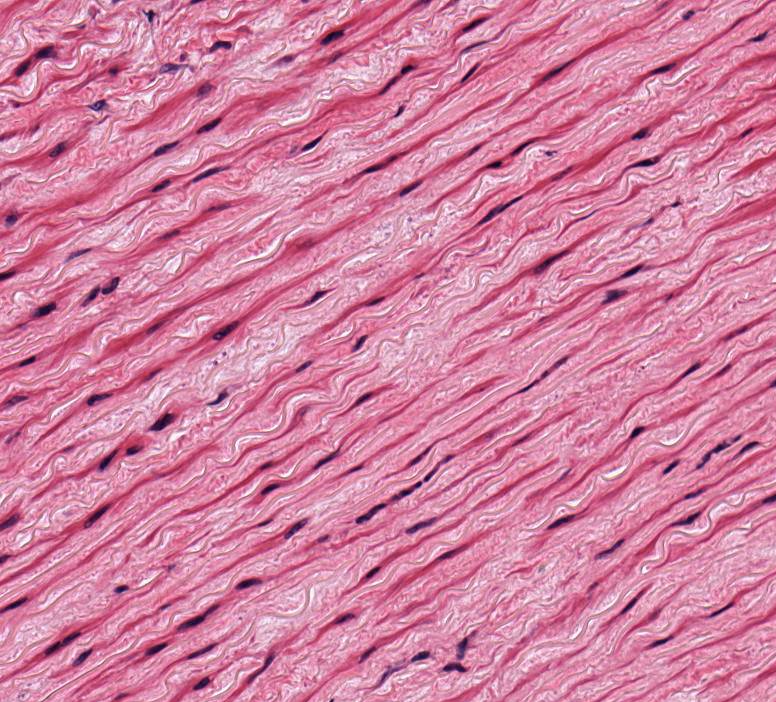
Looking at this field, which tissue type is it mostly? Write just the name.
tunica media of an artery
